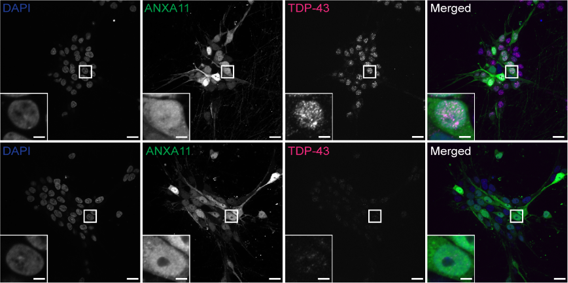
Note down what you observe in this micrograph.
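Cultured neurons shown as grayscale channels with a color merge, in two rows. Small cell bodies with round nuclei lie in clusters, and long thin processes run between them as a network in the green channel. In the upper row the magenta channel fills the nuclei with a speckled pattern, seen in the enlarged inset; in the lower row the nuclei are nearly empty of magenta. Some cell bodies stain brightly green throughout the cytoplasm and nucleus.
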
